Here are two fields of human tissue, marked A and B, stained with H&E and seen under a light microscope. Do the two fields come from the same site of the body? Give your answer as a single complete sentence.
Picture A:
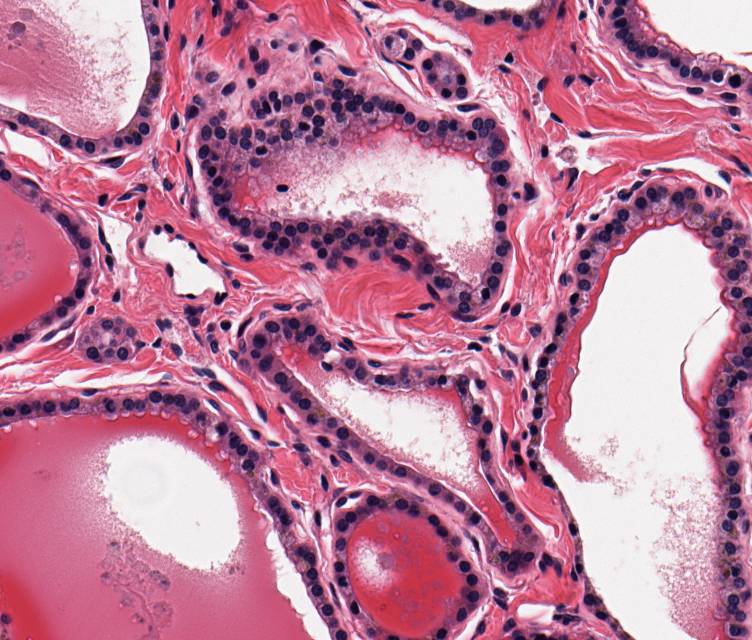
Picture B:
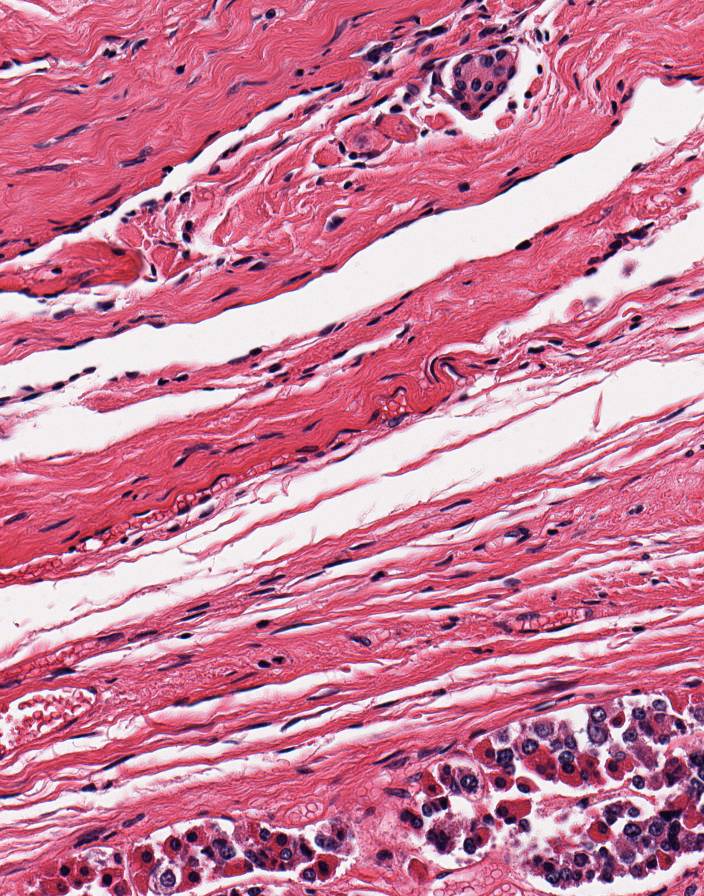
No, picture A comes from the thyroid and picture B comes from the pituitary.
